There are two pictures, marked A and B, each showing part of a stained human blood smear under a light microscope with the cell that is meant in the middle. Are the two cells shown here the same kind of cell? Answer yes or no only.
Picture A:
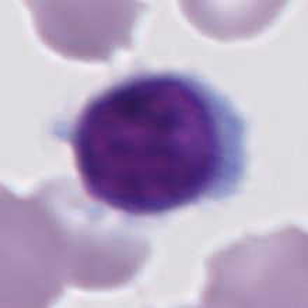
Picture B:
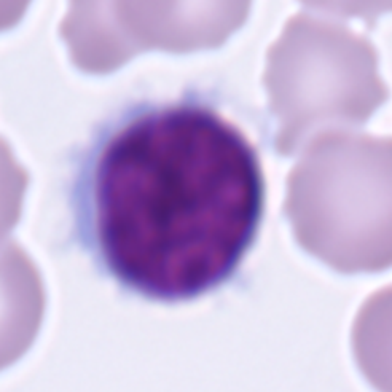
yes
